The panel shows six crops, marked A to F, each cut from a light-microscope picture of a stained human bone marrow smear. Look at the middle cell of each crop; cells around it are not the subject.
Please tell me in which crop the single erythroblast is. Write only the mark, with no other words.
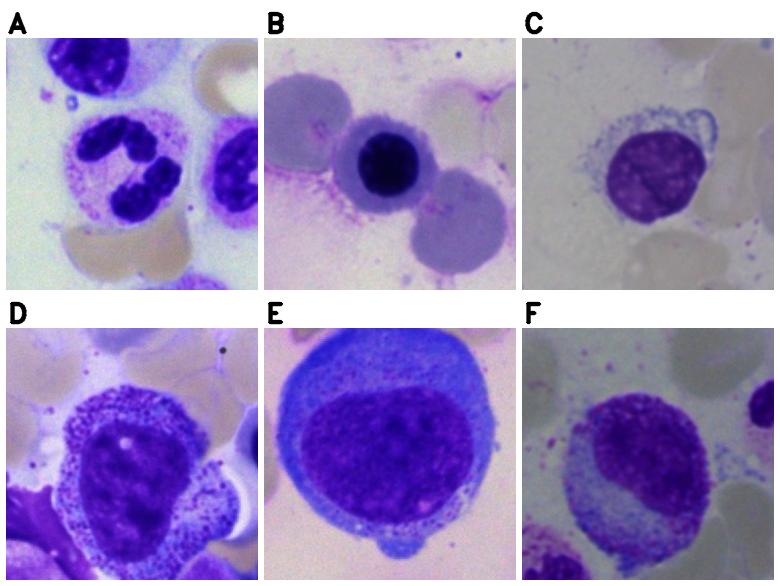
B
